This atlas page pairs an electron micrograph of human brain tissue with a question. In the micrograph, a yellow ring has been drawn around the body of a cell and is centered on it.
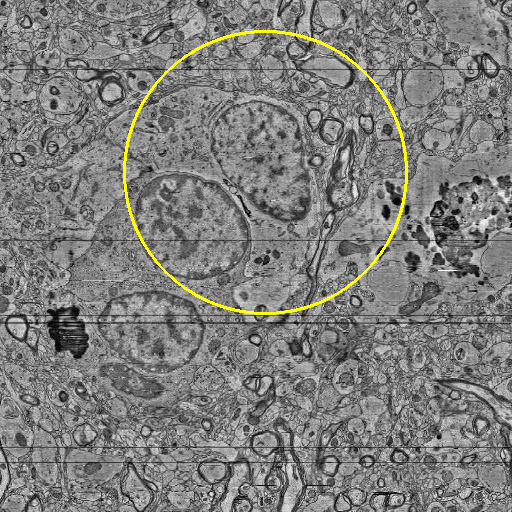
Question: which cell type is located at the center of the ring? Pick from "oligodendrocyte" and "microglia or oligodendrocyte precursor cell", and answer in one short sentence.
Located at the center of the ring is a microglial cell or oligodendrocyte precursor cell.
